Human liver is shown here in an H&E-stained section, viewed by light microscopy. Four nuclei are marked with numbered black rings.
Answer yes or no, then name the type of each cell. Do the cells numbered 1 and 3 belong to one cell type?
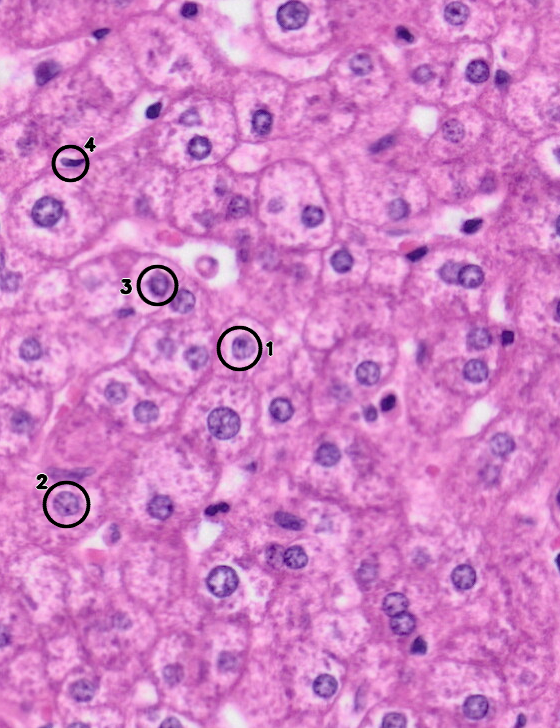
Yes, both are hepatocytes.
